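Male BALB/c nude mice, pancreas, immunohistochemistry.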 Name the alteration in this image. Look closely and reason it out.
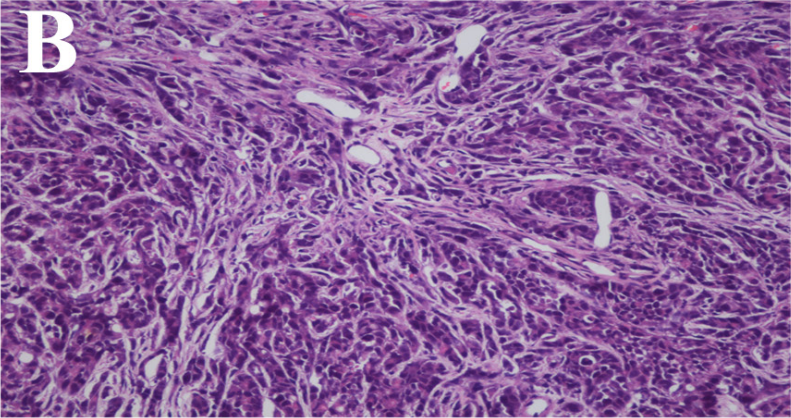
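Sheets and cords of crowded cells with large dark nuclei replace normal lobular architecture. Streaming fibrous stroma runs between the cell nests. No orderly acini or lobules are seen. The answer: Pancreatic cancer.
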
